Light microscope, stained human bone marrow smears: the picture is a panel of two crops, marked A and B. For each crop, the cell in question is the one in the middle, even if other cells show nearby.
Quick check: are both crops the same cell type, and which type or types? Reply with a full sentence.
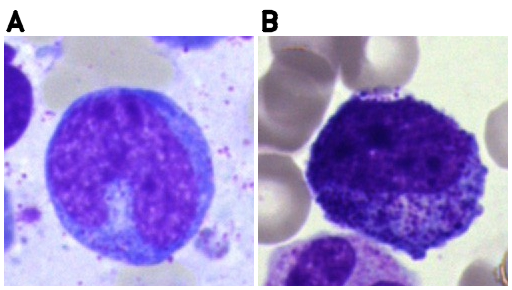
No: a monocyte sits in crop A, and a promyelocyte sits in crop B.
